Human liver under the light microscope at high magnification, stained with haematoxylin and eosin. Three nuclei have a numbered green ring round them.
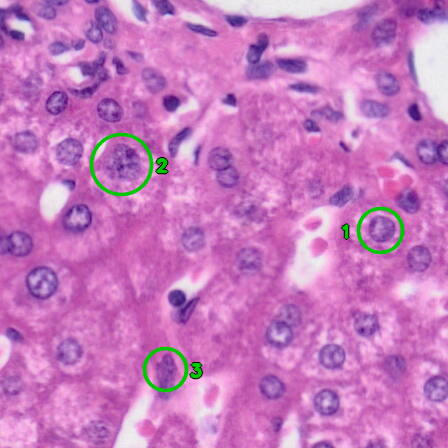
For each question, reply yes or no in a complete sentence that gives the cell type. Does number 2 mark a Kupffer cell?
No, a Kupffer cell is not what cell 2 is; it is a hepatocyte.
